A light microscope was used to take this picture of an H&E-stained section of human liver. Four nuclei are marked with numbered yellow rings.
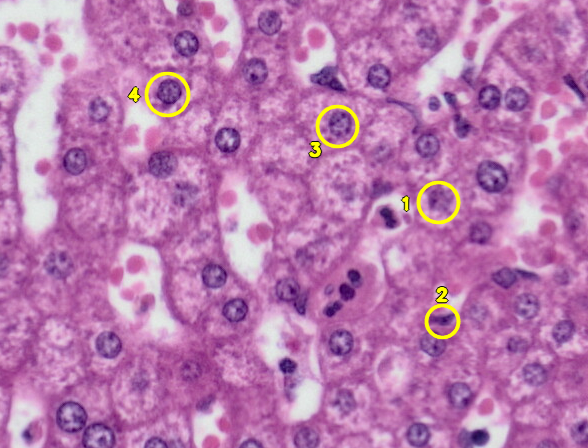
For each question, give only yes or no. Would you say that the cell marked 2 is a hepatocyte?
no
